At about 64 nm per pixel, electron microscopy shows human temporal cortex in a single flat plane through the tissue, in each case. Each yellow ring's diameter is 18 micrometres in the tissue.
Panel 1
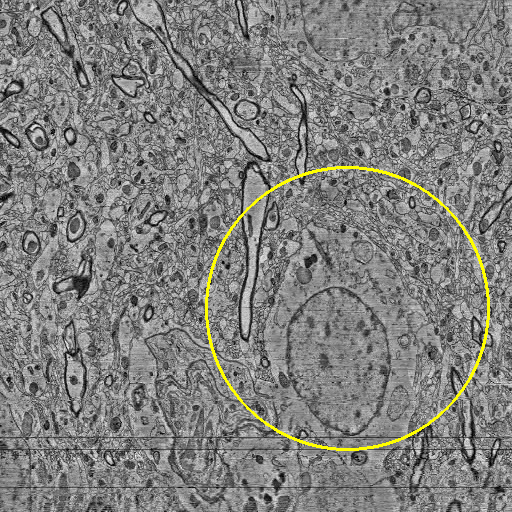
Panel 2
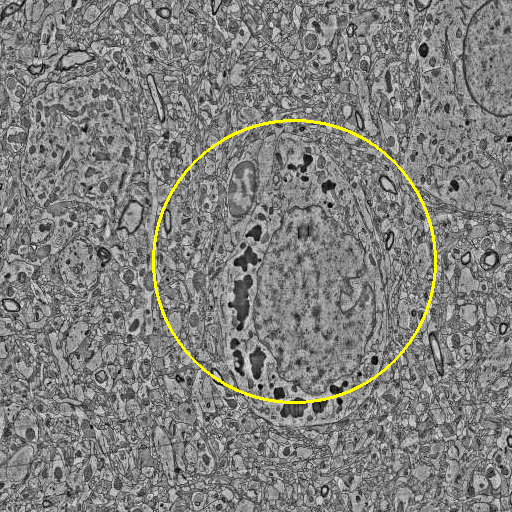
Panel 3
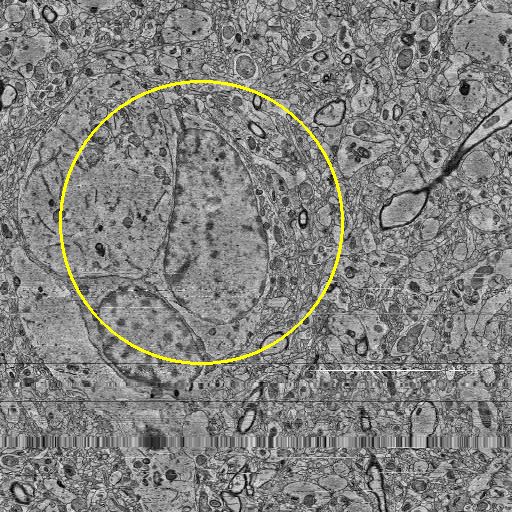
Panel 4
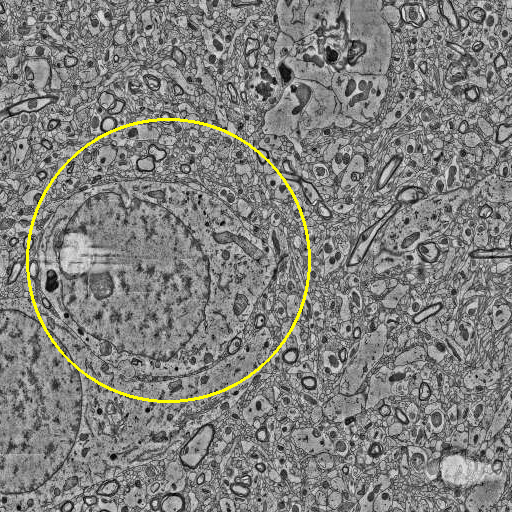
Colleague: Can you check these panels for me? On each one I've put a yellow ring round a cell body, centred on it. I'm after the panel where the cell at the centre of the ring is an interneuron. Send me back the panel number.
2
